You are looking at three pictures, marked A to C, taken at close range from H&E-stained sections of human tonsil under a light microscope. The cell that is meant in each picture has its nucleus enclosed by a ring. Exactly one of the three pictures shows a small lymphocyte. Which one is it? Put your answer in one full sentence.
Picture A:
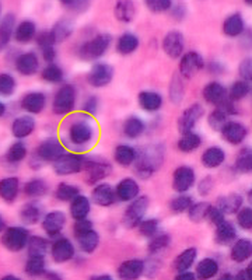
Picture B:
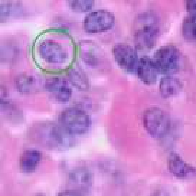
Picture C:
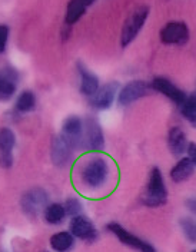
The picture with the small lymphocyte is A.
